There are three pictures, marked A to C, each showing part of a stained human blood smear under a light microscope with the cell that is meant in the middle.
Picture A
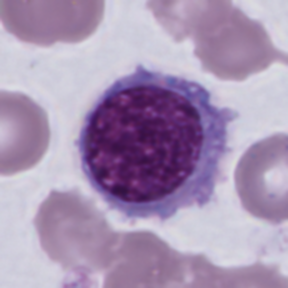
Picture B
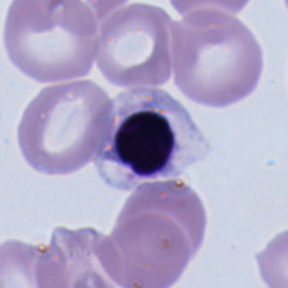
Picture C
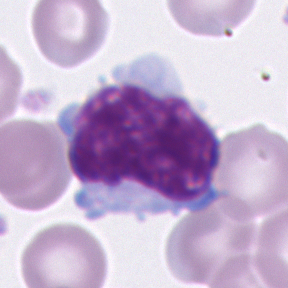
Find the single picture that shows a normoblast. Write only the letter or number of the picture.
B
